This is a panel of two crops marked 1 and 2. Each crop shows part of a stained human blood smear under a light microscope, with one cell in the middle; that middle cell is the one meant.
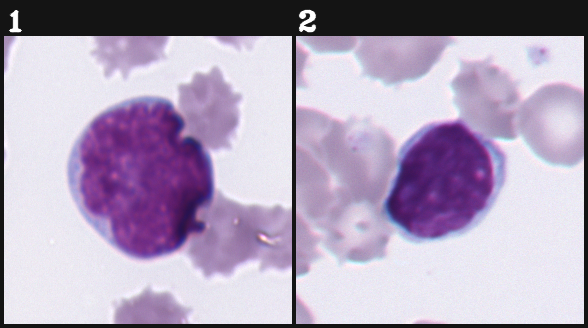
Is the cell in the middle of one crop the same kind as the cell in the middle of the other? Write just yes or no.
no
